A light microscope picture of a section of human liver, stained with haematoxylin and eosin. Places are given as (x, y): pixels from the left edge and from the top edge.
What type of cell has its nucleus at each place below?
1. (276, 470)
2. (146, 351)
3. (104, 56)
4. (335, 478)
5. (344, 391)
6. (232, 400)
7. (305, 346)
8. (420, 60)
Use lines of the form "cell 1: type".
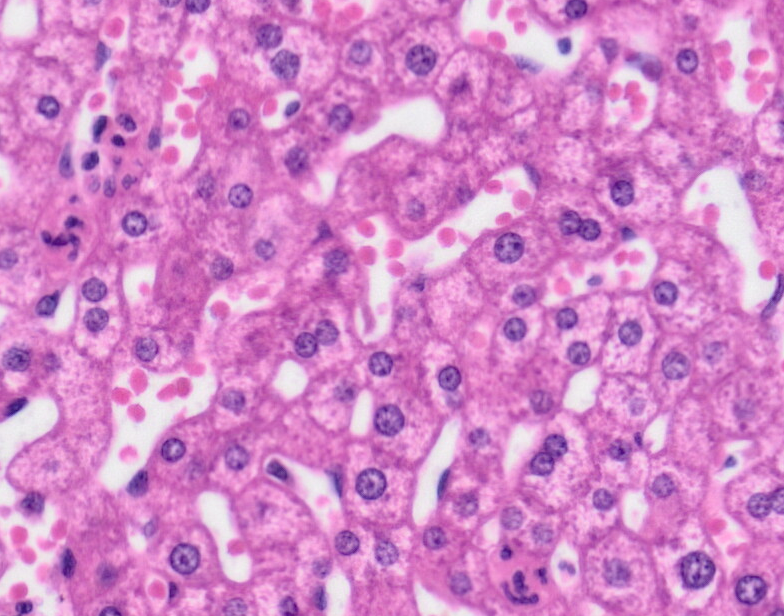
cell 1: Kupffer cell
cell 2: hepatocyte
cell 3: endothelial cell
cell 4: endothelial cell
cell 5: hepatocyte
cell 6: hepatocyte
cell 7: hepatocyte
cell 8: hepatocyte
